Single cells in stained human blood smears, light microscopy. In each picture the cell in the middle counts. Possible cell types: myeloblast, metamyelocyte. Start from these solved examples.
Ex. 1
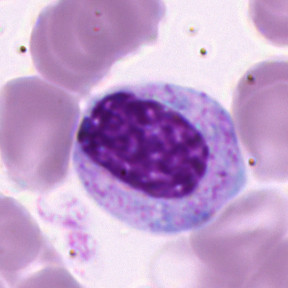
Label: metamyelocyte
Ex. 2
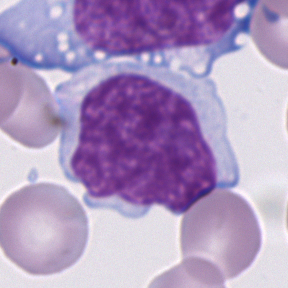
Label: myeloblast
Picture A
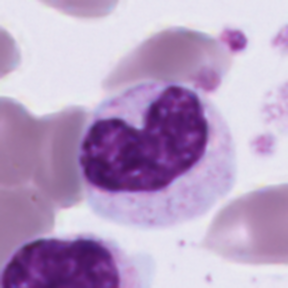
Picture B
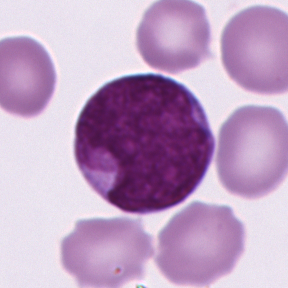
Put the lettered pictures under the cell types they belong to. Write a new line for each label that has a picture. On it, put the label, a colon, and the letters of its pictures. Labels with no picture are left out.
myeloblast: B
metamyelocyte: A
